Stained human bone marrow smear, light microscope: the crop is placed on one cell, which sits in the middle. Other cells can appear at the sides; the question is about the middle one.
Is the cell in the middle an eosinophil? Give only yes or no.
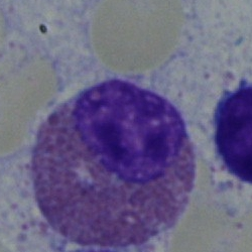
yes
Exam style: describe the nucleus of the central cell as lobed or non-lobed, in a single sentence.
The cell carries one compact nucleus shaped round, oval or like a kidney.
